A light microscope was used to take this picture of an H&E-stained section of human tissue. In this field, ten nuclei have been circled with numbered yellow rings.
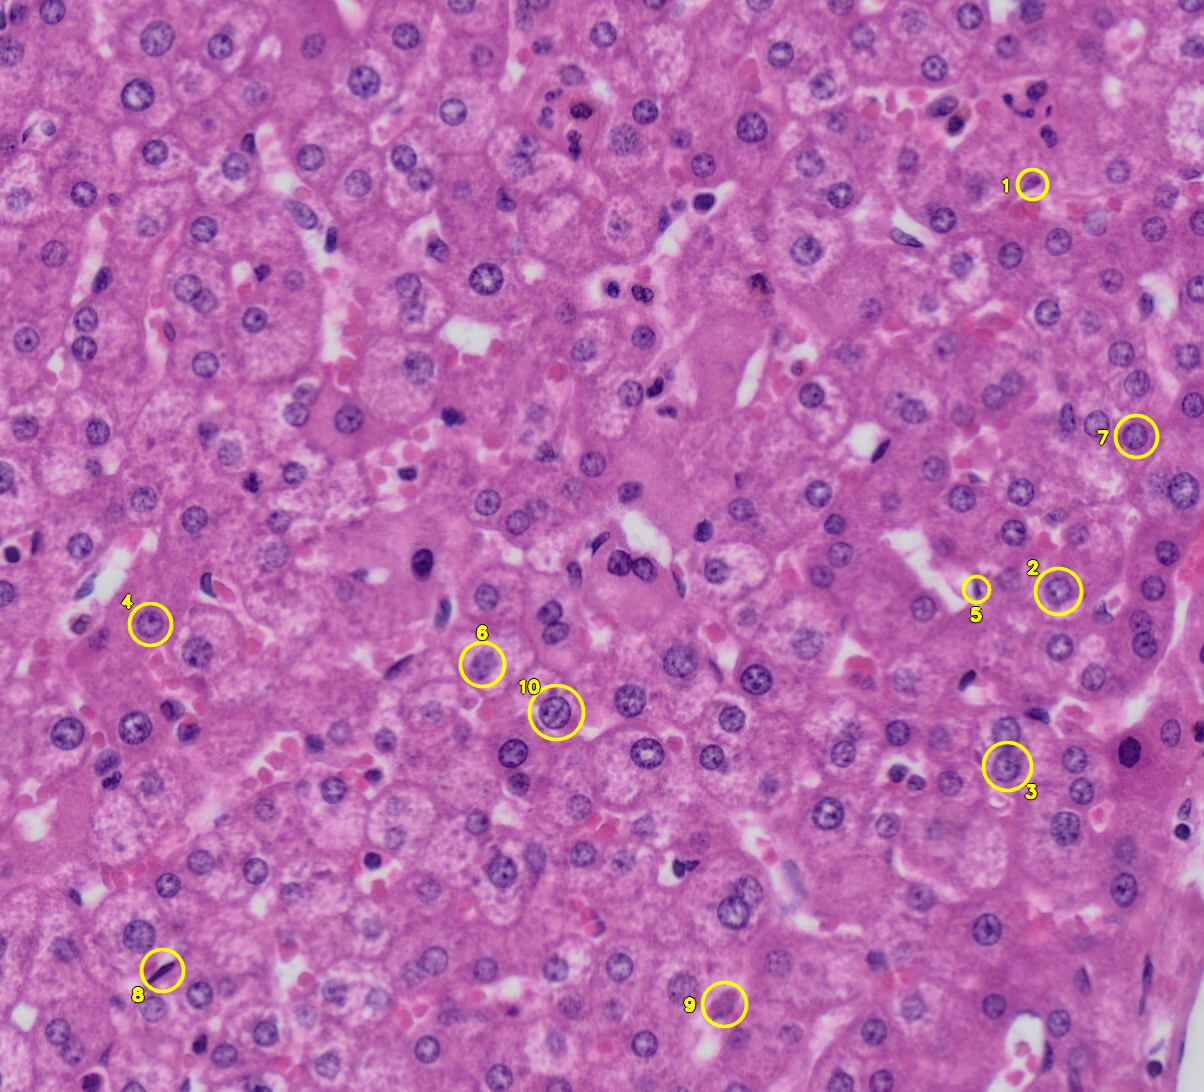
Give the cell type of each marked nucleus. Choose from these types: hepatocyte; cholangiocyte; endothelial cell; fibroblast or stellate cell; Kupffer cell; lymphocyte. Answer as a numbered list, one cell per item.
1. endothelial cell
2. hepatocyte
3. hepatocyte
4. hepatocyte
5. endothelial cell
6. hepatocyte
7. hepatocyte
8. endothelial cell
9. Kupffer cell
10. hepatocyte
